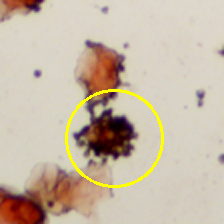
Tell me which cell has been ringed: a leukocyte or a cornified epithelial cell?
It is a cornified epithelial cell.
